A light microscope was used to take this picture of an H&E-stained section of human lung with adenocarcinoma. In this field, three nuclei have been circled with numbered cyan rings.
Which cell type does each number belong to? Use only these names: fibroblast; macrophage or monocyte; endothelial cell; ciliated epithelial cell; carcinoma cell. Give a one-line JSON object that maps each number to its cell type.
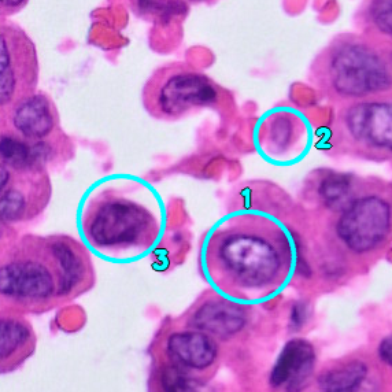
{"1": "carcinoma cell", "2": "macrophage or monocyte", "3": "carcinoma cell"}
